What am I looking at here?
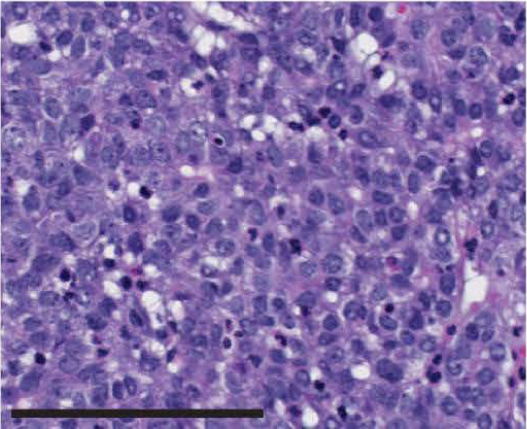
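A solid sheet of tumor cells packed closely together, with no glandular or layered arrangement. The nuclei are round to oval, dark purple and fill much of each cell. The cytoplasm is a scant pink-purple rim, and only a few small clear spaces are scattered between the cells.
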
